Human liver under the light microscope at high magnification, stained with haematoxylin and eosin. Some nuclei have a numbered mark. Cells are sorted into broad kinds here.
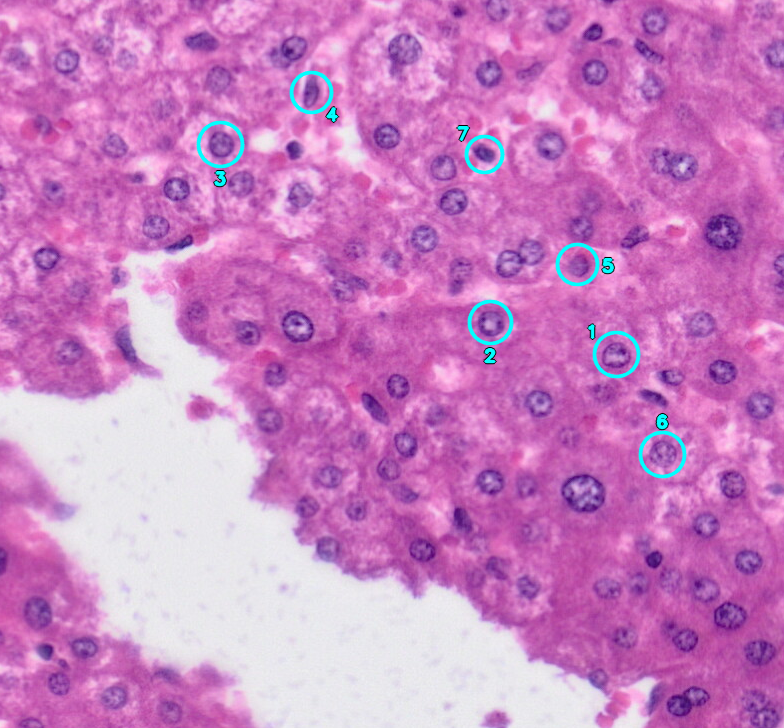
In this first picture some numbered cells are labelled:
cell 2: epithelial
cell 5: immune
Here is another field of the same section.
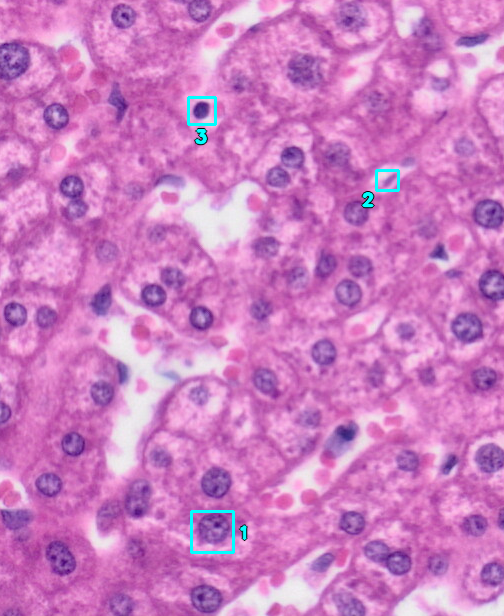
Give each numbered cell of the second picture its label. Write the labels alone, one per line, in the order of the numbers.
epithelial
immune
immune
